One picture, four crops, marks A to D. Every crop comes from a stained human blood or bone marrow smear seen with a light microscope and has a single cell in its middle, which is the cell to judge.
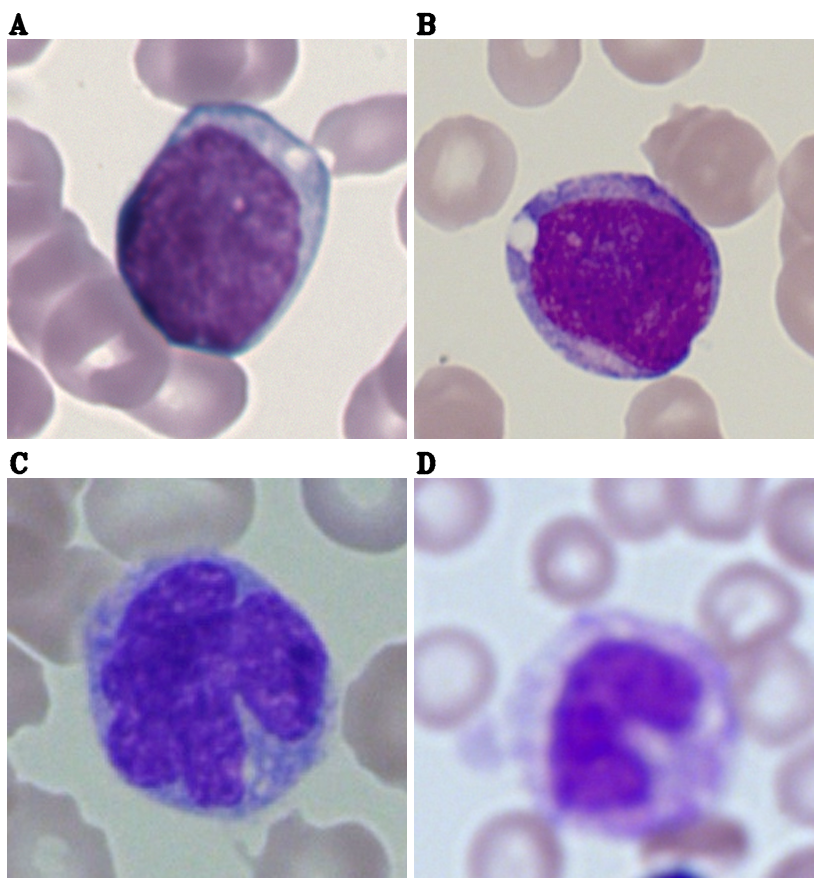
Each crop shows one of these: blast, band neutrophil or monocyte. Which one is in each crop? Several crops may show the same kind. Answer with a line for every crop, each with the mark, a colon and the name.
A: blast
B: blast
C: monocyte
D: band neutrophil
